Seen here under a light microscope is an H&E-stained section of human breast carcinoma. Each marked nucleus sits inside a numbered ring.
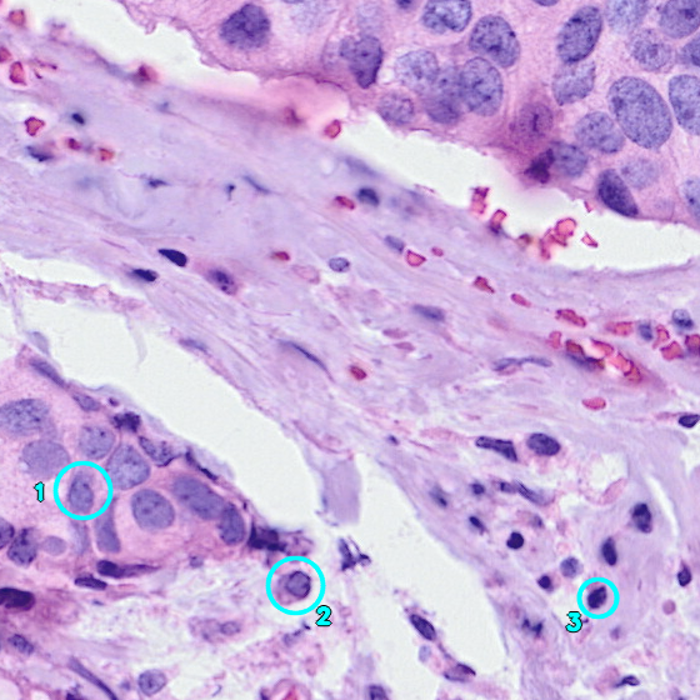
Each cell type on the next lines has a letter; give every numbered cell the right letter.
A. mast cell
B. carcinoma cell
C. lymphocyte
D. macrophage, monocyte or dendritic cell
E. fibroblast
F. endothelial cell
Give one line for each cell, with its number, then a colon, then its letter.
1: B
2: D
3: C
